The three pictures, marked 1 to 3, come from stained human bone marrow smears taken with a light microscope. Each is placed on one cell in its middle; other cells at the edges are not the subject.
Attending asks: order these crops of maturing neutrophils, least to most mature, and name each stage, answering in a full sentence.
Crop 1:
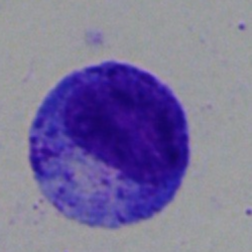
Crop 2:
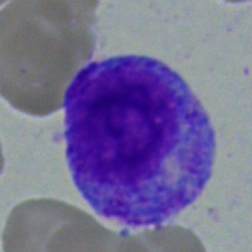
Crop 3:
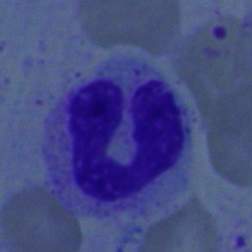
In ascending order of maturity, the sequence is crop 2 (a promyelocyte), crop 1 (a myelocyte) and crop 3 (a band neutrophil).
